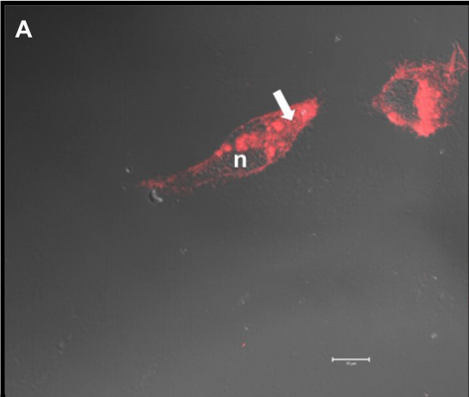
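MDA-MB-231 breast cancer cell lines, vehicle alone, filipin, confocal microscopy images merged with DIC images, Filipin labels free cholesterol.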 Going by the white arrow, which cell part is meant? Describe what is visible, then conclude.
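Cytosol. The white arrow points at red spots inside the cell body, not at its edge. The arrowed spots lie beside the nucleus within the cytoplasm.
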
